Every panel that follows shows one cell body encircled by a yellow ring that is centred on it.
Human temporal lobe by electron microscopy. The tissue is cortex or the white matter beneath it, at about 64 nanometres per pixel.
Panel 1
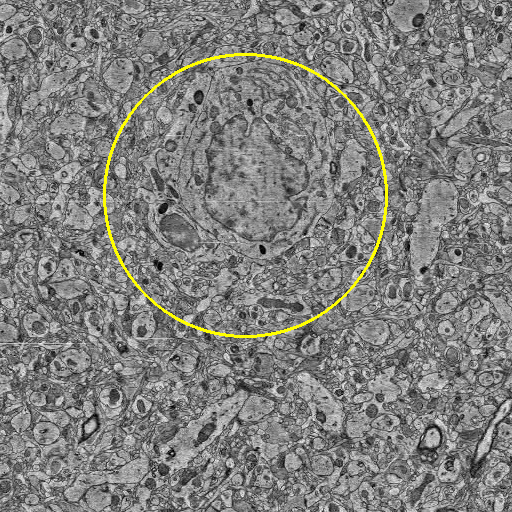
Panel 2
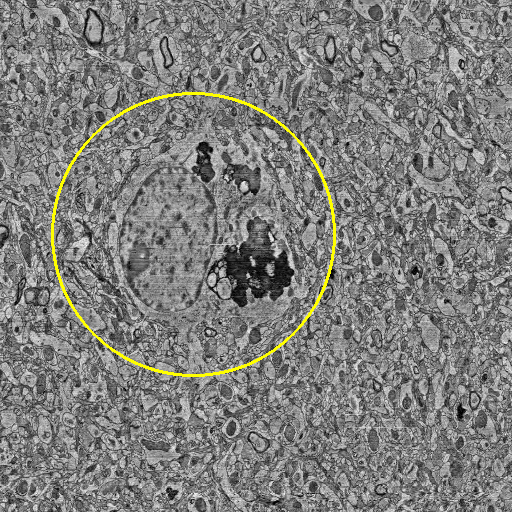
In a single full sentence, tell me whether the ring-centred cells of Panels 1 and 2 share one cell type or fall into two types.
In Panel 1 and Panel 2, the cells at the ring centres fall into two types.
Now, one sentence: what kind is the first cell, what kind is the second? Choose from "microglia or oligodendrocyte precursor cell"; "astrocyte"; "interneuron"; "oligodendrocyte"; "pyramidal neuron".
The first picture has an interneuron at its ring centre, and the second has an astrocyte.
